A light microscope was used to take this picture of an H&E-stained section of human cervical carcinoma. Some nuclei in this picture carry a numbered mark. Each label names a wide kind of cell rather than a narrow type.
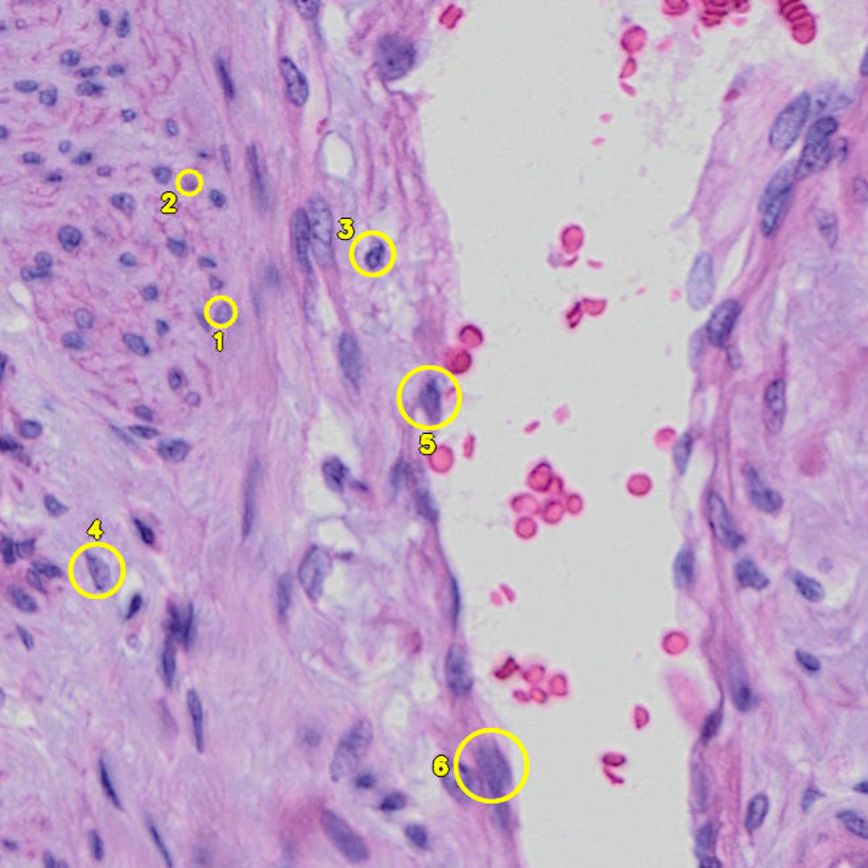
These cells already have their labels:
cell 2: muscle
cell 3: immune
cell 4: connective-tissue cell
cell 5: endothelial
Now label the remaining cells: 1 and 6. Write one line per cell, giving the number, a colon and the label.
1: muscle
6: endothelial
